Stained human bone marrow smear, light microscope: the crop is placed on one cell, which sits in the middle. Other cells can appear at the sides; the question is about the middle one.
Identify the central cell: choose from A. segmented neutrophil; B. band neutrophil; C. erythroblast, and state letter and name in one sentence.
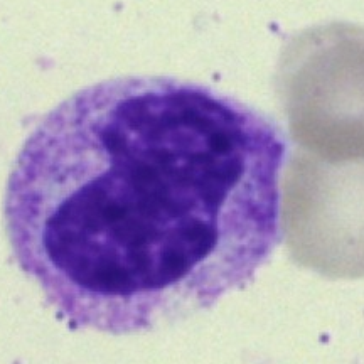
The central cell in this crop is a band neutrophil, corresponding to option B, the correct option.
